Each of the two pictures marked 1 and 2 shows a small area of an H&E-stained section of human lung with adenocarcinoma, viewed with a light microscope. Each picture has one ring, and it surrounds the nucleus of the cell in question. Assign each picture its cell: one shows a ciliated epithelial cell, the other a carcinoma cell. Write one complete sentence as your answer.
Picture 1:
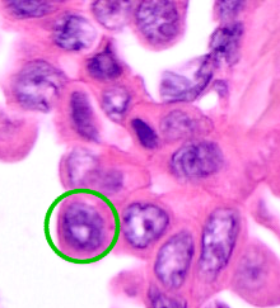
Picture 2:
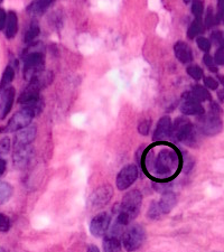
Picture 1 is of a carcinoma cell, and picture 2 is of a ciliated epithelial cell.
